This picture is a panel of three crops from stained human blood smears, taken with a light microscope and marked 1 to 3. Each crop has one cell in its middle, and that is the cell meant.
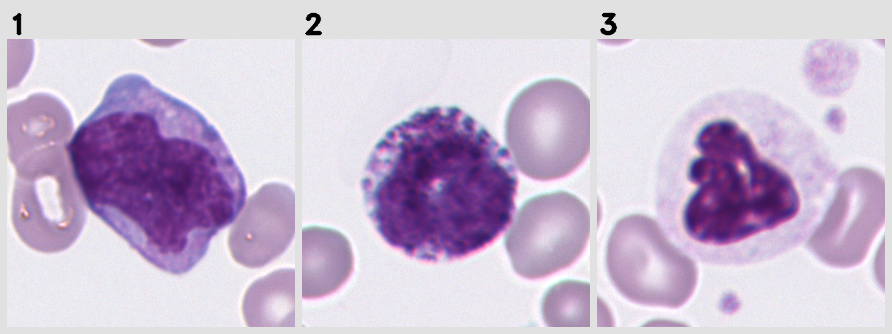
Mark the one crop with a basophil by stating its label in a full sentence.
The sole crop showing a basophil is crop 2.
